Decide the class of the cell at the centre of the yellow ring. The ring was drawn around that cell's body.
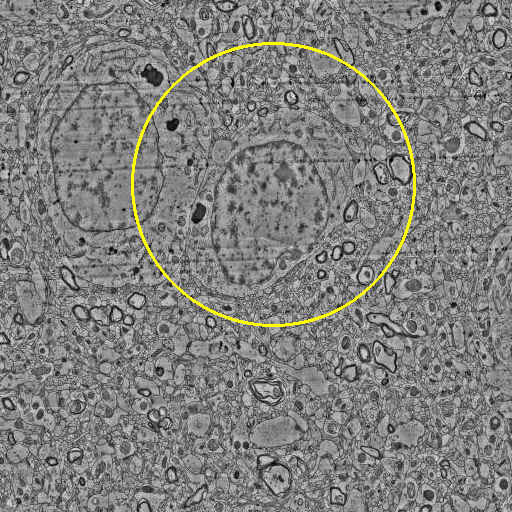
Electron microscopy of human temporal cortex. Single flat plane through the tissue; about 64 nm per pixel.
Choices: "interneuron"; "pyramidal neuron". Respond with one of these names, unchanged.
interneuron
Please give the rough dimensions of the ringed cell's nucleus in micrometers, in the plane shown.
The ringed cell's nucleus is about 10 micrometres long and 7 micrometres wide in this plane.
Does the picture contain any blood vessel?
No, there is no blood vessel.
